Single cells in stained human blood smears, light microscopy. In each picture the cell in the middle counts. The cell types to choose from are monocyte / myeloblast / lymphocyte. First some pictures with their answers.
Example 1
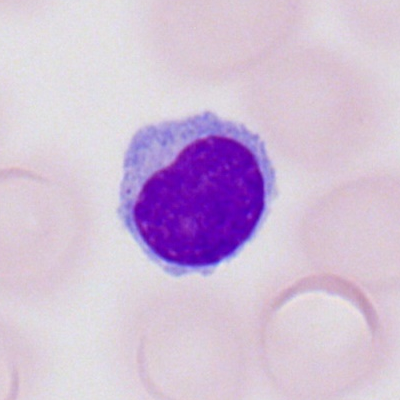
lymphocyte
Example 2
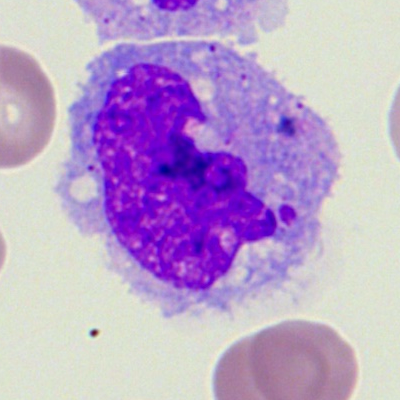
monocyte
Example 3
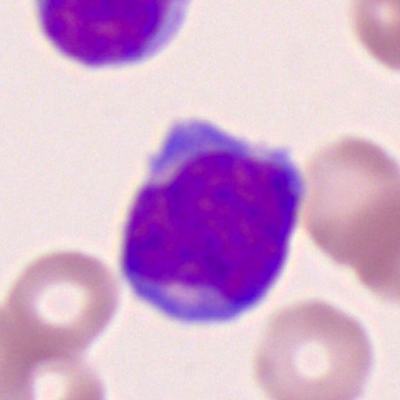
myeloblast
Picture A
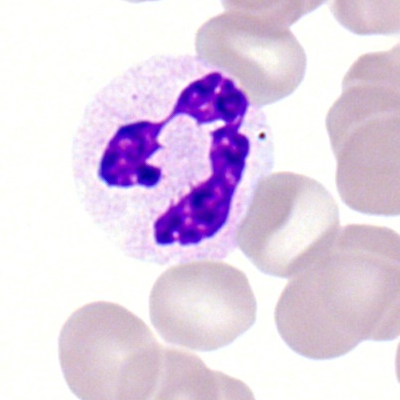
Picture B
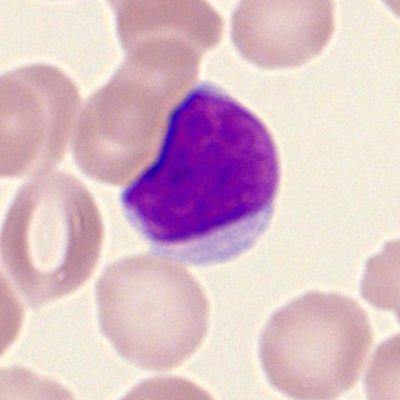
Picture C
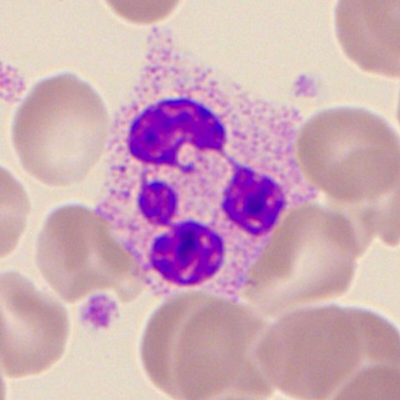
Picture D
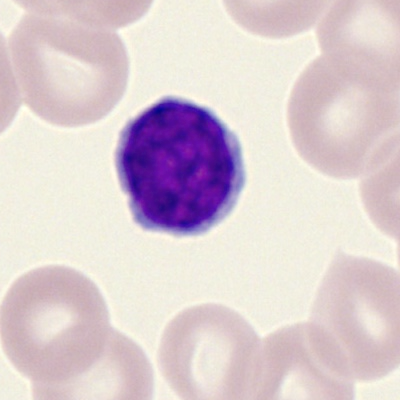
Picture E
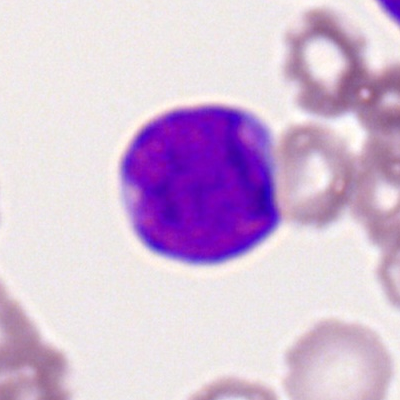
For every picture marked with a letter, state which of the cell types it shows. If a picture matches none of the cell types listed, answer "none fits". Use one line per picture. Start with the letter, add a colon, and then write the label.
A: none fits
B: lymphocyte
C: none fits
D: lymphocyte
E: myeloblast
